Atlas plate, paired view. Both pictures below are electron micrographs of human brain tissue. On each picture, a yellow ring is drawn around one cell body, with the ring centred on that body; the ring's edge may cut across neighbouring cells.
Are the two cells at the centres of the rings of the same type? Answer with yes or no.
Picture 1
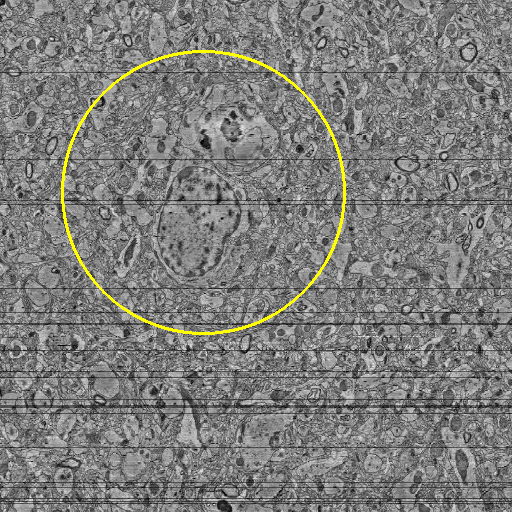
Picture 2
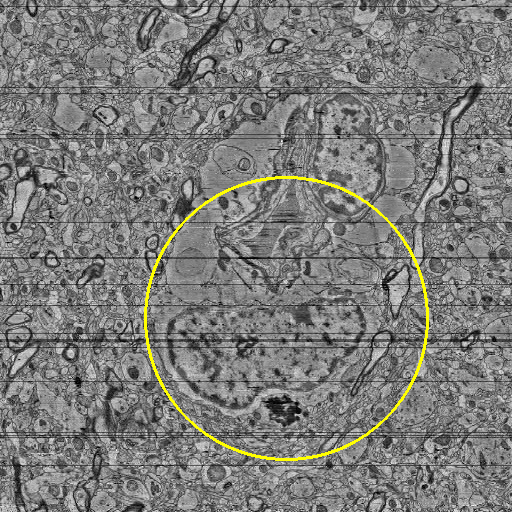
yes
